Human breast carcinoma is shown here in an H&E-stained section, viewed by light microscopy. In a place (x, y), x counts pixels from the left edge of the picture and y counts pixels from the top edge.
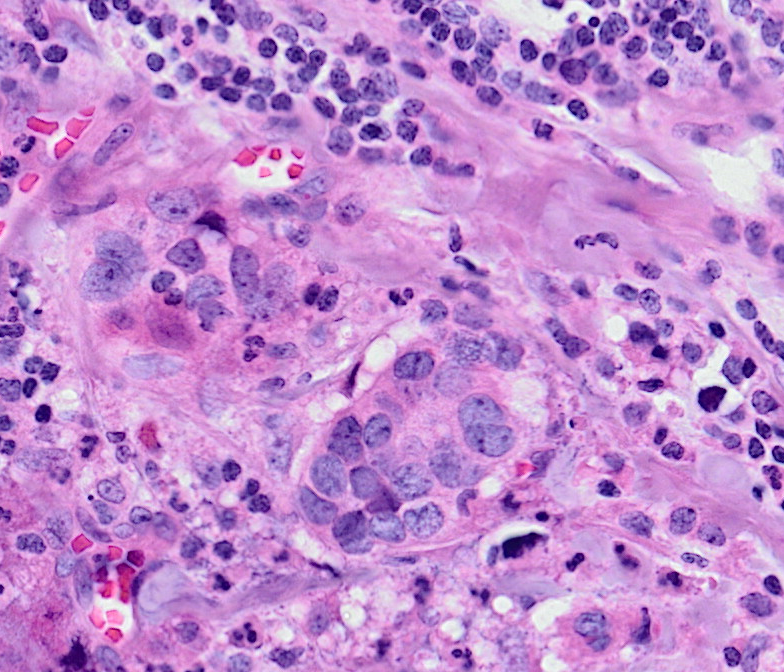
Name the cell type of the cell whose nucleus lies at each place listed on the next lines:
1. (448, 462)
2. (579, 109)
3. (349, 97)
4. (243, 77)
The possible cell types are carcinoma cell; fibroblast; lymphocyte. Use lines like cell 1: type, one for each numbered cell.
cell 1: carcinoma cell
cell 2: lymphocyte
cell 3: lymphocyte
cell 4: lymphocyte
